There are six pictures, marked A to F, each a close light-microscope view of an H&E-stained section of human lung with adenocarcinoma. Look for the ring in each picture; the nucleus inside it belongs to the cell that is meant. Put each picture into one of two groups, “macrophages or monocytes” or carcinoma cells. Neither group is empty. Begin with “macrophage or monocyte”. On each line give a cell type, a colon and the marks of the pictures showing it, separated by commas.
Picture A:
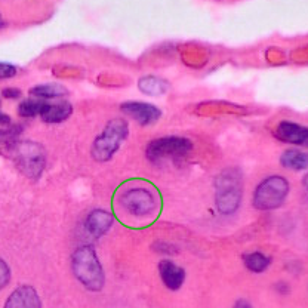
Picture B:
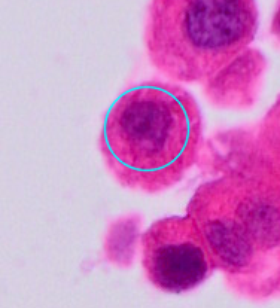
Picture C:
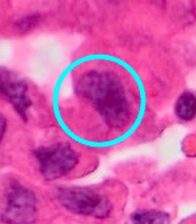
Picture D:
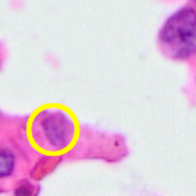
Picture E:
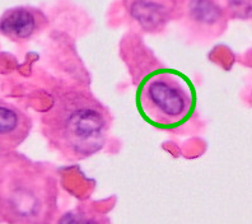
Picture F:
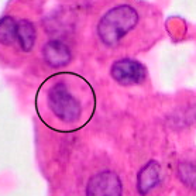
macrophage or monocyte: A, D, E, F
carcinoma cell: B, C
